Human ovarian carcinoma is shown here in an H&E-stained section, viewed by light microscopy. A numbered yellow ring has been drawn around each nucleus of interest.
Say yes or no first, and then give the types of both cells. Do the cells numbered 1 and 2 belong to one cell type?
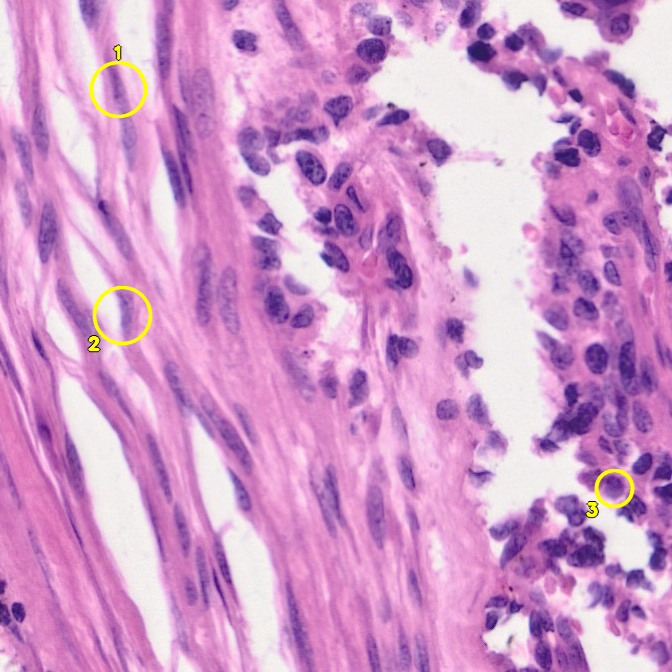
Yes, in short, cells 1 and 2 are both fibroblasts.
